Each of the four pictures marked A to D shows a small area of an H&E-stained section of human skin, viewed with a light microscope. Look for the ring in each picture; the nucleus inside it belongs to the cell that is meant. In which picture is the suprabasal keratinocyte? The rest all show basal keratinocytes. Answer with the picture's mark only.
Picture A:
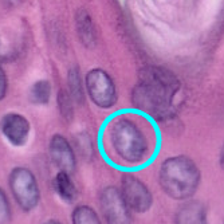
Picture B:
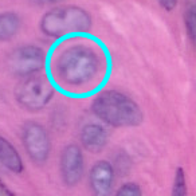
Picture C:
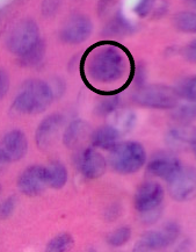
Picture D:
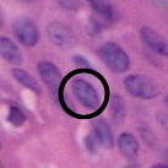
A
